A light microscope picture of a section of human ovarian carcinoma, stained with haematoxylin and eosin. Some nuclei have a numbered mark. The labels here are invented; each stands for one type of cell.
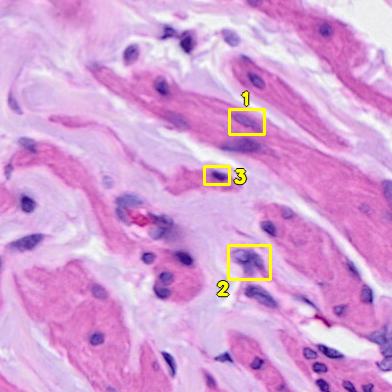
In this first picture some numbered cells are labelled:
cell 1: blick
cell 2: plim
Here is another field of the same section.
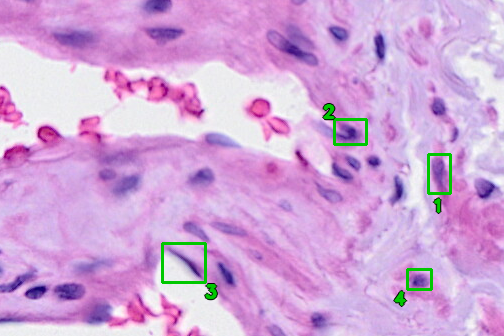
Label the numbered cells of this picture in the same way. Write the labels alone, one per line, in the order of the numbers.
blick
plim
plim
blick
